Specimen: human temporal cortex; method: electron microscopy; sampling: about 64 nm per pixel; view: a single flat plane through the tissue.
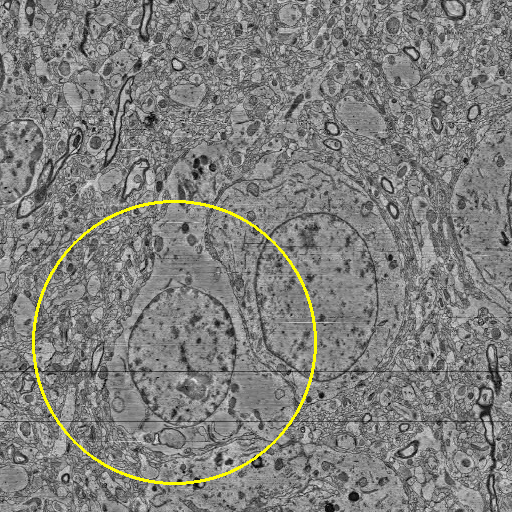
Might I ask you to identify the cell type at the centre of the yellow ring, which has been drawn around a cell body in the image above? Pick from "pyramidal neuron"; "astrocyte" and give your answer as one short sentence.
The centre of the ring falls on an astrocyte.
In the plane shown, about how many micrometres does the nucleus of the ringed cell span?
In this plane, roughly 9 by 7 micrometres.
